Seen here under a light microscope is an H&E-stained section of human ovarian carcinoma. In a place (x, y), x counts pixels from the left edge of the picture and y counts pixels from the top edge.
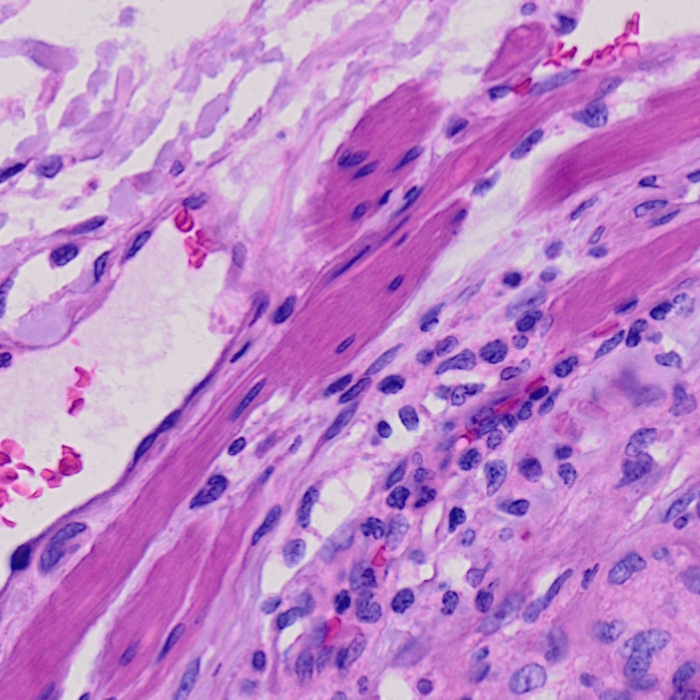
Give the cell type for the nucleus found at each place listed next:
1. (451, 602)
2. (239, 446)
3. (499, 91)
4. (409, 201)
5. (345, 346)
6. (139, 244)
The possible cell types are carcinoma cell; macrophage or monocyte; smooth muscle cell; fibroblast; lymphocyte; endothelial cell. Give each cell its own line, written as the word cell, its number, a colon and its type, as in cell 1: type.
cell 1: lymphocyte
cell 2: lymphocyte
cell 3: endothelial cell
cell 4: smooth muscle cell
cell 5: smooth muscle cell
cell 6: endothelial cell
